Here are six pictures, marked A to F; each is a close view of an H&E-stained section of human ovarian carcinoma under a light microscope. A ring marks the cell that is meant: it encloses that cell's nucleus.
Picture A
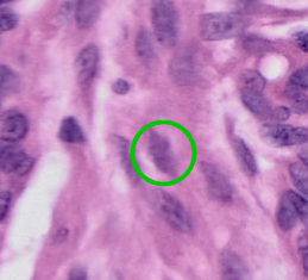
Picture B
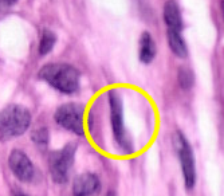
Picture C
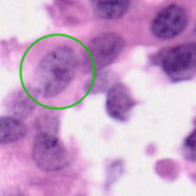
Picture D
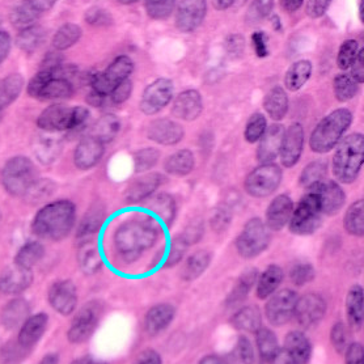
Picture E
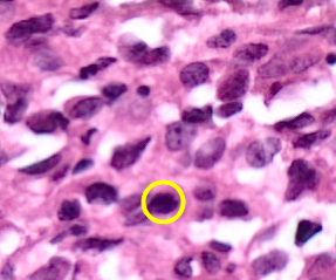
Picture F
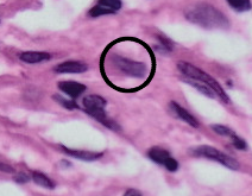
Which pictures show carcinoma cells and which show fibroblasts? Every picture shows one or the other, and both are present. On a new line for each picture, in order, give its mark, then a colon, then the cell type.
A: fibroblast
B: fibroblast
C: carcinoma cell
D: carcinoma cell
E: carcinoma cell
F: fibroblast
